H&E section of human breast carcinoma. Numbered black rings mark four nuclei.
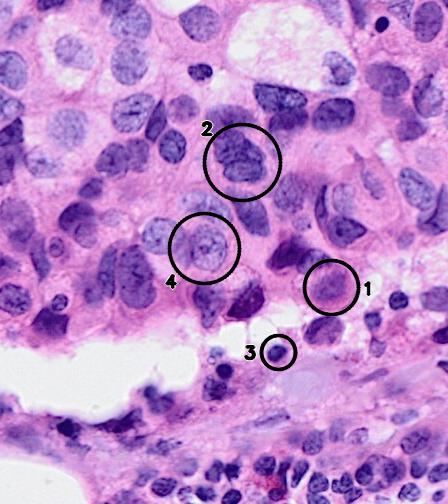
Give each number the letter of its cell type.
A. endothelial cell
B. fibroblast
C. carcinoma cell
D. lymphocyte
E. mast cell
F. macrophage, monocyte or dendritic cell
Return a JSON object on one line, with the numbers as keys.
{"1": "C", "2": "C", "3": "D", "4": "C"}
